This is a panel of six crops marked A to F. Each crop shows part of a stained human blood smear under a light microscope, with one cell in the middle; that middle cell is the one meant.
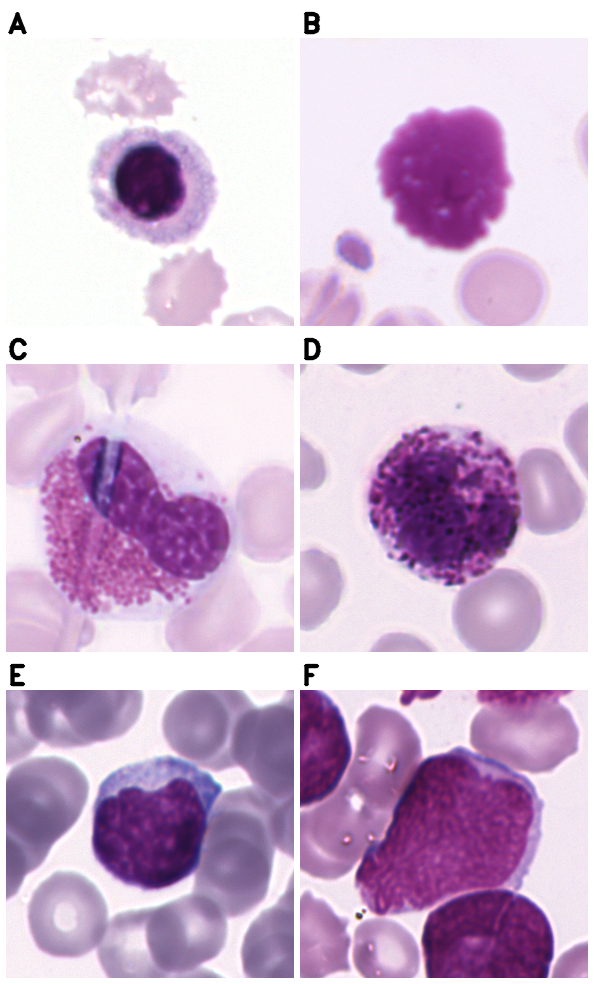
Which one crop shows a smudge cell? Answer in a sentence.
The one that shows a smudge cell is crop B.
